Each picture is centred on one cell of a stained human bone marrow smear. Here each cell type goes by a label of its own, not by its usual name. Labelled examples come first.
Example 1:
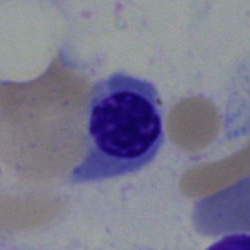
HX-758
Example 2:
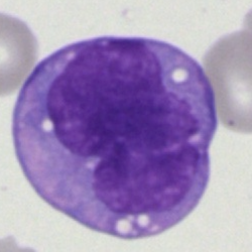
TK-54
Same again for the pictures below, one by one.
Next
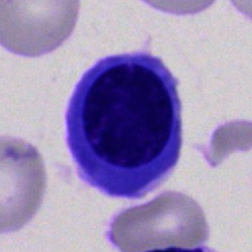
HX-758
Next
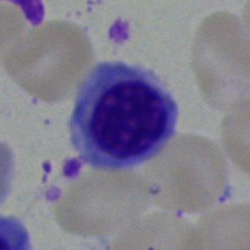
HX-758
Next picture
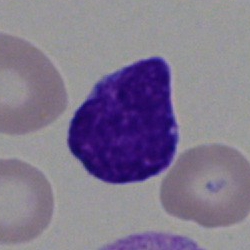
TK-54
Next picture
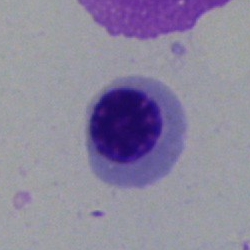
HX-758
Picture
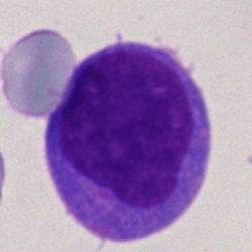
TK-54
